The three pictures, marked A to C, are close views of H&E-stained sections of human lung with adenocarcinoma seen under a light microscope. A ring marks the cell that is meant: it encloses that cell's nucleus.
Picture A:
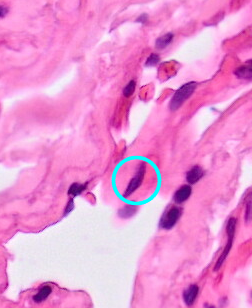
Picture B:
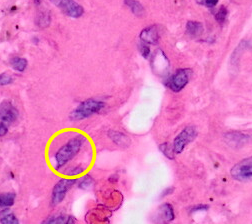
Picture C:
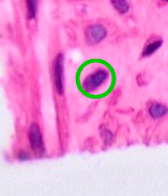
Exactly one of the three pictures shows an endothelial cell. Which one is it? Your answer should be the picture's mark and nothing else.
A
